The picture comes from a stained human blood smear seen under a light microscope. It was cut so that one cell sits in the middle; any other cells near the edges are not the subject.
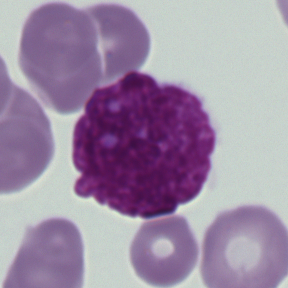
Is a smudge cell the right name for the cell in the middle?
yes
